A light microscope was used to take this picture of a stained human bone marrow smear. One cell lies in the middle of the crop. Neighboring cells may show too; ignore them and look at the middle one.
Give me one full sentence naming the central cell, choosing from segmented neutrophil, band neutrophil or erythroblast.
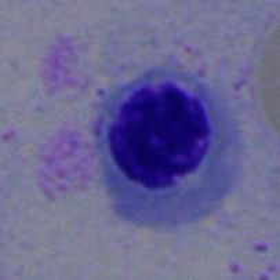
The cell of interest, in the center, is an erythroblast.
